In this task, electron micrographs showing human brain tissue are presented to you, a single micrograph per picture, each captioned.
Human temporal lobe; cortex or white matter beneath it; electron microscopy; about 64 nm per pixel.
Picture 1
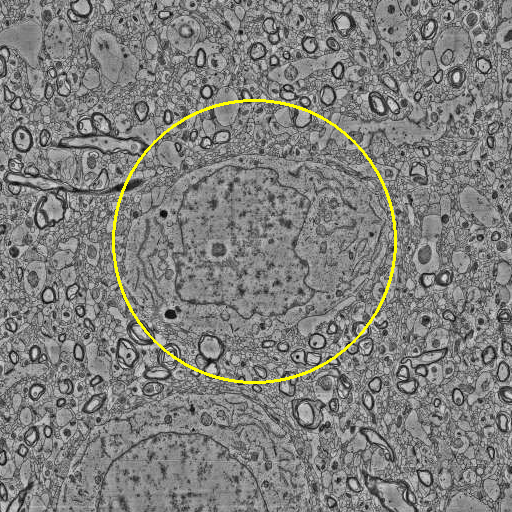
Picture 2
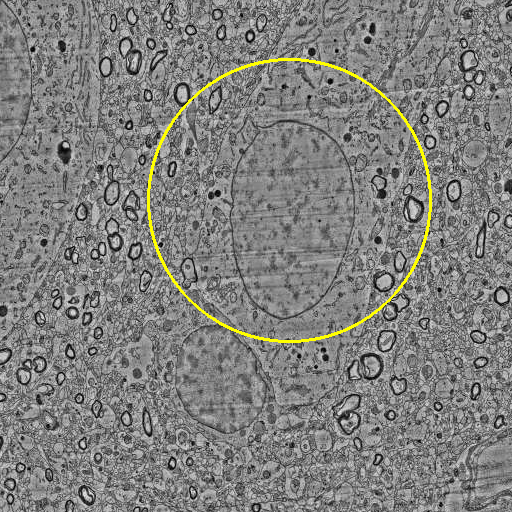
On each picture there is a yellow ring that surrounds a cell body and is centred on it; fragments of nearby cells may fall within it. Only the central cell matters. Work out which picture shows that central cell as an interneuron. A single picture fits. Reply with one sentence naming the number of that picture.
Of all the pictures, number 1 has the right cell in the centre of its ring.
